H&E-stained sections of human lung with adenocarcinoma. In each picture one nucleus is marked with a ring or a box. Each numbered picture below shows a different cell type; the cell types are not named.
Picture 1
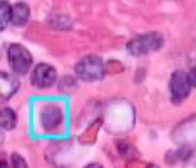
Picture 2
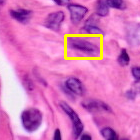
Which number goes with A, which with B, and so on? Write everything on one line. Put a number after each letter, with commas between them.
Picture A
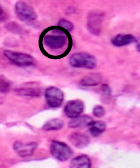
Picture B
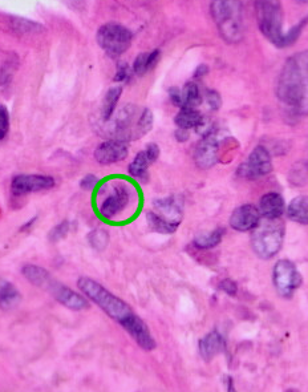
A 2, B 2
